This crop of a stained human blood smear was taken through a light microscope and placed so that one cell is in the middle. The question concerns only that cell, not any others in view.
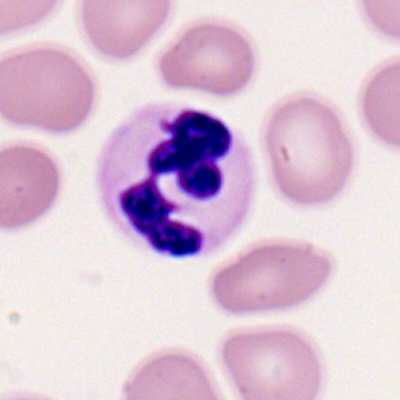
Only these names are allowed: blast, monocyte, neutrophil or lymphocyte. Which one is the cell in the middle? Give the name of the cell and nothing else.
neutrophil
